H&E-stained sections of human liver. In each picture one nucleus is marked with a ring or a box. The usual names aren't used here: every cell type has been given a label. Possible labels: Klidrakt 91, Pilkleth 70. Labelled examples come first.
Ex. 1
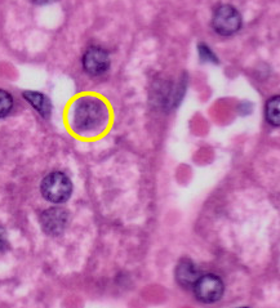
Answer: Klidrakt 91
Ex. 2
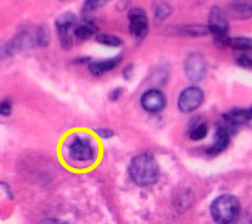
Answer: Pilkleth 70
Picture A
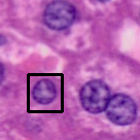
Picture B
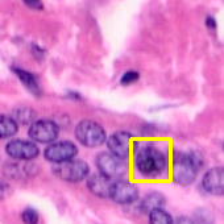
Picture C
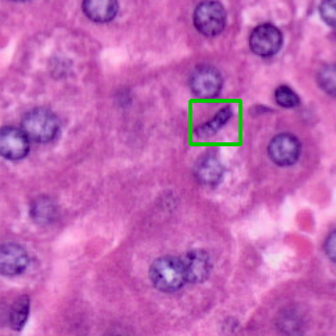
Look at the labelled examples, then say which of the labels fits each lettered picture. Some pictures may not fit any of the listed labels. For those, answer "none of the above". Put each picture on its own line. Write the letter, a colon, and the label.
A: Klidrakt 91
B: none of the above
C: Pilkleth 70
